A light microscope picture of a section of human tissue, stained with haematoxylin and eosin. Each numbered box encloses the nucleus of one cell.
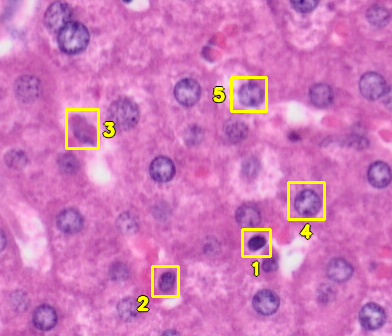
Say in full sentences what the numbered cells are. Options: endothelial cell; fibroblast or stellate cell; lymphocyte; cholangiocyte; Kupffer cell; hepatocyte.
Cell 1 is a lymphocyte, cell 2 is a Kupffer cell, cell 3 is a Kupffer cell, cell 4 is a hepatocyte and cell 5 is a hepatocyte.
